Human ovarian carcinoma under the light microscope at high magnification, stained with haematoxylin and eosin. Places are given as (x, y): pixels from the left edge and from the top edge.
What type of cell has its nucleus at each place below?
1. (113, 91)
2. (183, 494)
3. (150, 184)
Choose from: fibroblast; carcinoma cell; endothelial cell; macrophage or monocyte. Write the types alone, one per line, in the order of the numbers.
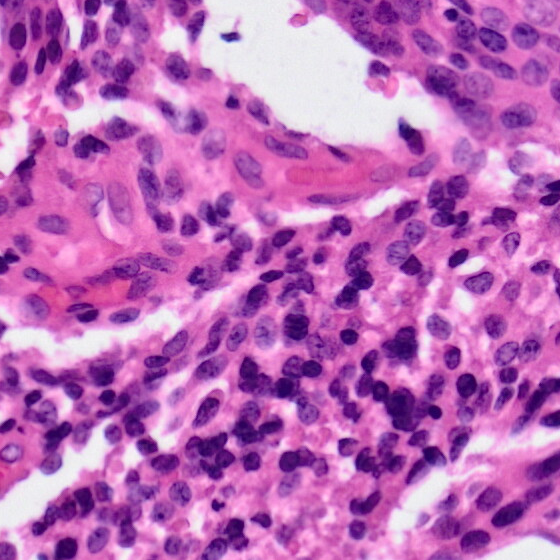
carcinoma cell
macrophage or monocyte
carcinoma cell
